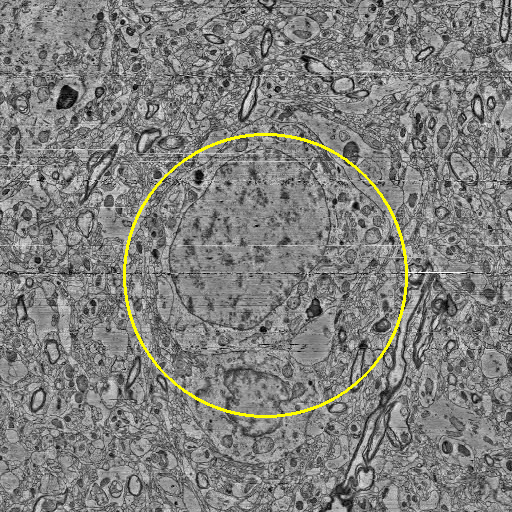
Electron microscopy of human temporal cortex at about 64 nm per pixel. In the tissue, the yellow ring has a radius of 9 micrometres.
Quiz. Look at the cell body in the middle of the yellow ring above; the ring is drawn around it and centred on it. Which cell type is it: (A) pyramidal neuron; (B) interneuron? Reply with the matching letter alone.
A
